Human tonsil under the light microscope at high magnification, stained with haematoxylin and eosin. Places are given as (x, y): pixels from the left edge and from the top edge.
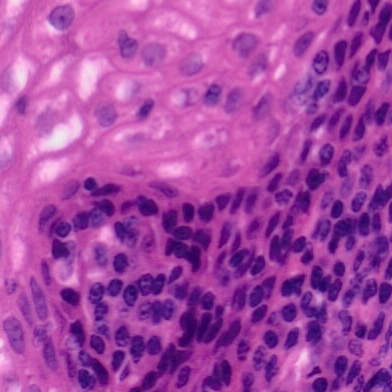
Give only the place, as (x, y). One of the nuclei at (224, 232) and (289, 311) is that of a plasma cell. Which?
(289, 311)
